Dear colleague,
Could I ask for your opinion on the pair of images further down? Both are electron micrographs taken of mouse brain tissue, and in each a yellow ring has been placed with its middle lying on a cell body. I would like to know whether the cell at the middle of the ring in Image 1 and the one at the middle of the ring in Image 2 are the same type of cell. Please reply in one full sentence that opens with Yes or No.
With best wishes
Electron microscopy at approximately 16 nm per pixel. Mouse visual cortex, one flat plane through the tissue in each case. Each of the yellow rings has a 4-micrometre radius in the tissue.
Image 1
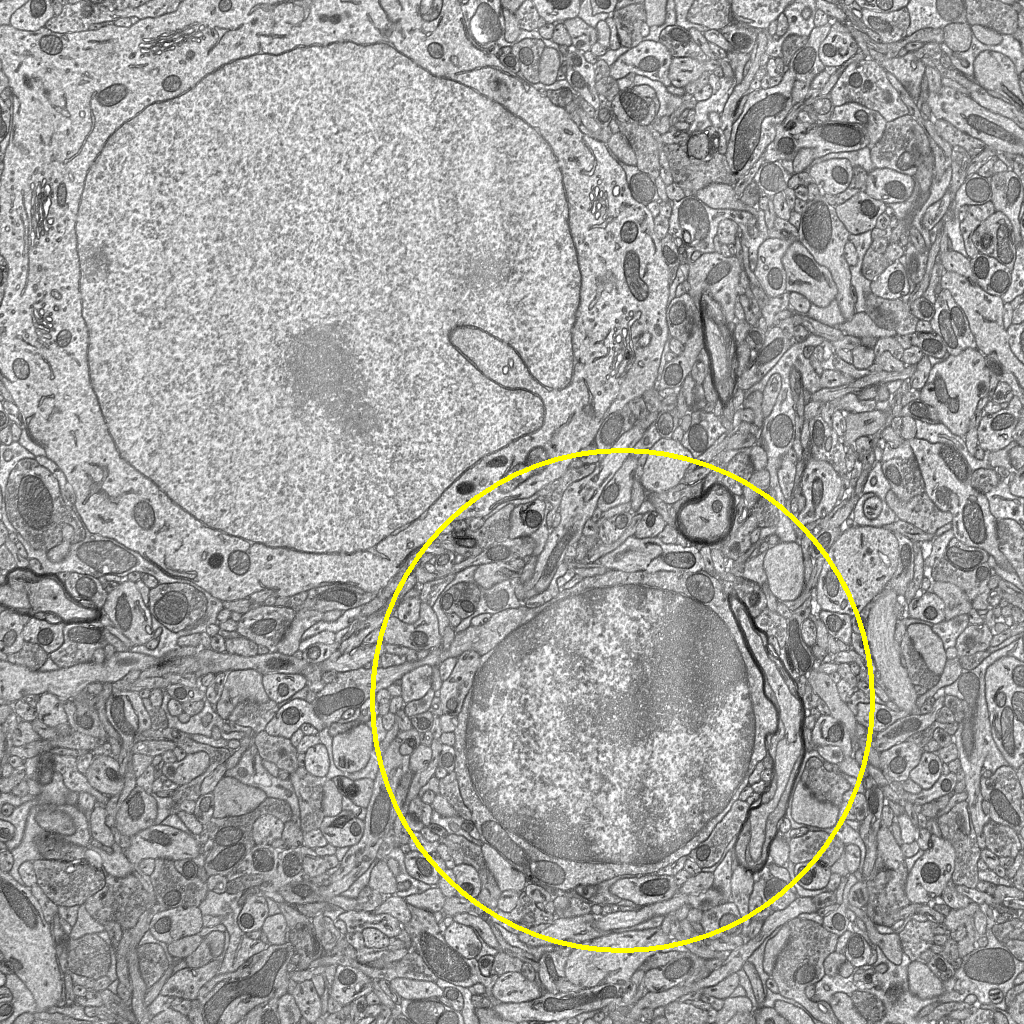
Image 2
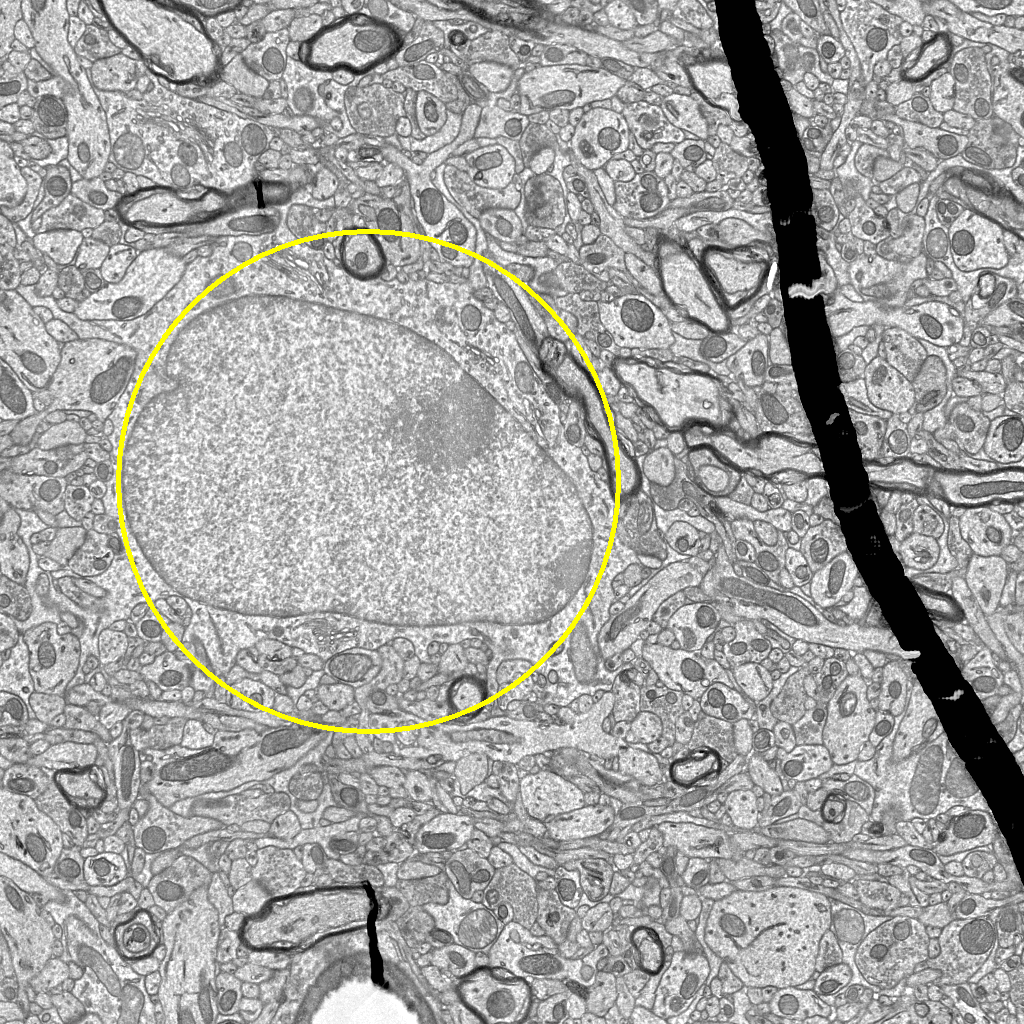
No, the cells at the ring centres in Image 1 and Image 2 are of two types.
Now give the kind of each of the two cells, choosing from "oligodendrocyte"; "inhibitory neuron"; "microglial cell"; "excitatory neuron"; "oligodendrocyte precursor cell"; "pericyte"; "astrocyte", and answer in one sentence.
For the first picture it is an oligodendrocyte; for the second, an astrocyte.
